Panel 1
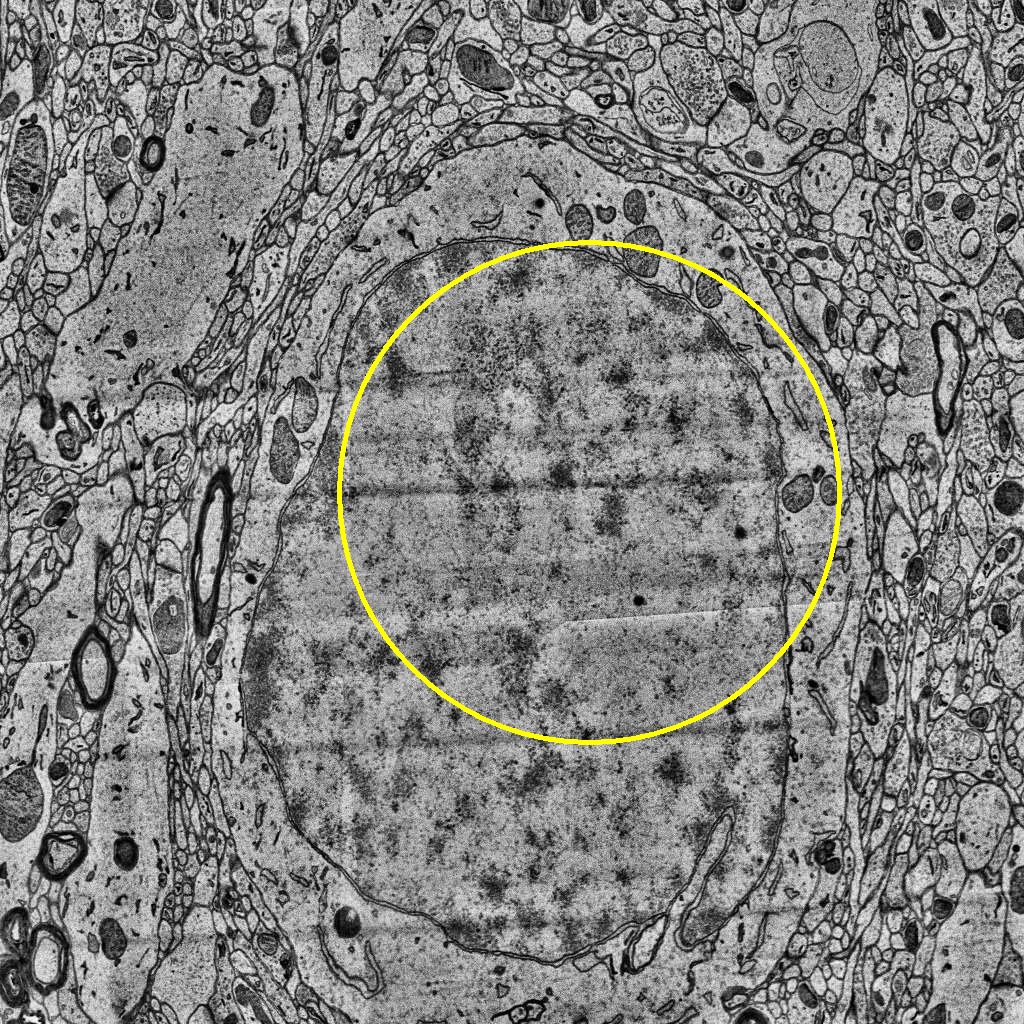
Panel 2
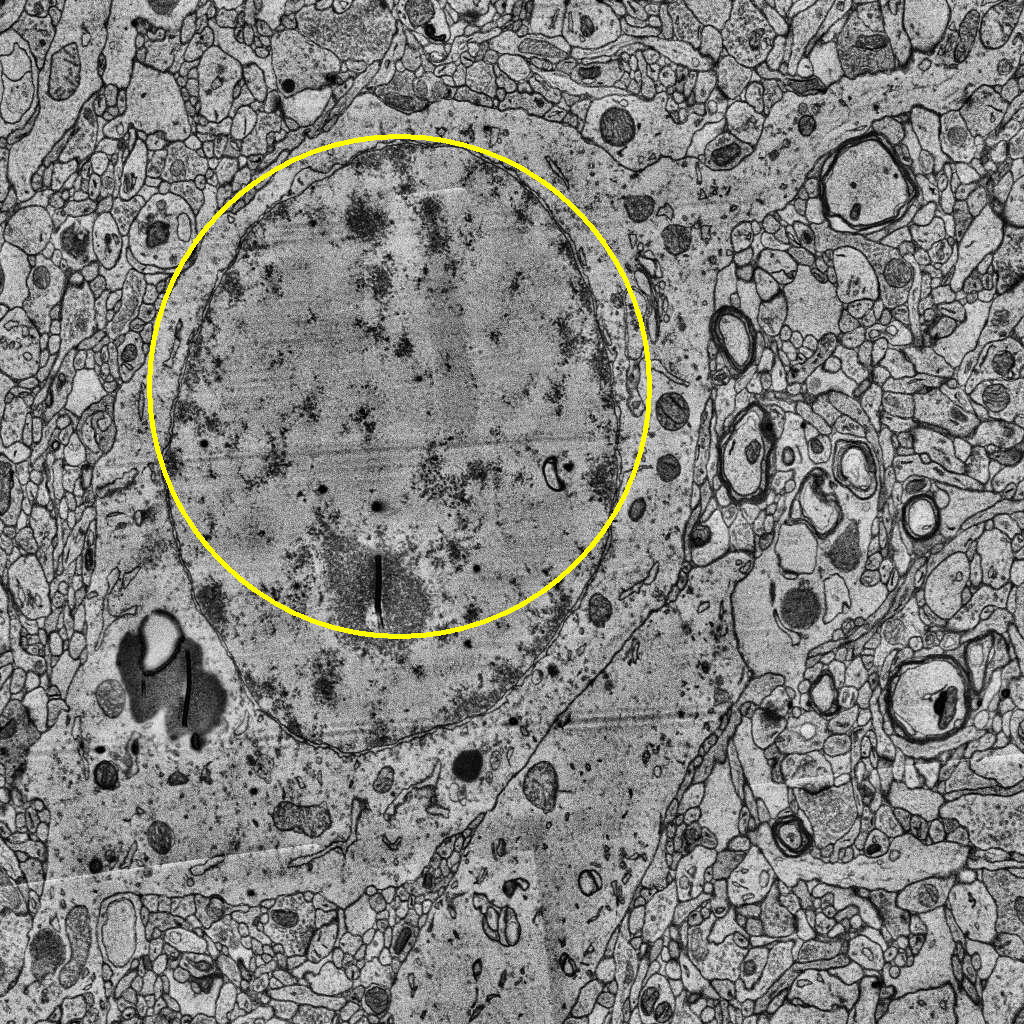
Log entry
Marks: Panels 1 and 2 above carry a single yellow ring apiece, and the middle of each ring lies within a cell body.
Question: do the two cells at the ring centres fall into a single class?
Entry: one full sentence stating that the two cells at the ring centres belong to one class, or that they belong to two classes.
The two cells at the ring centres in Panels 1 and 2 belong to one class.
